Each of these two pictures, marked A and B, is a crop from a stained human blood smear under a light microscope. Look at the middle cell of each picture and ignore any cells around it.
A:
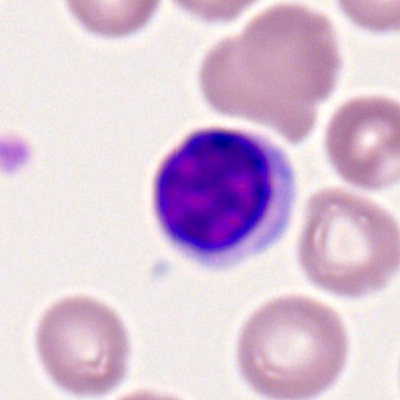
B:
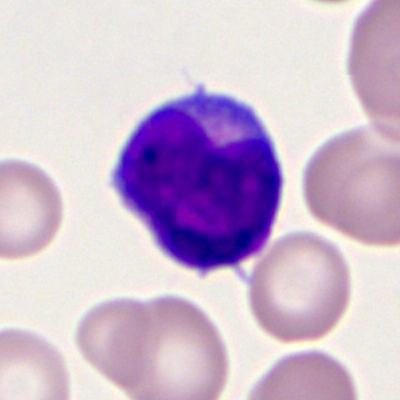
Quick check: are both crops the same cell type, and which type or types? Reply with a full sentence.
No, a lymphocyte is in crop A, and a myeloblast is in crop B.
